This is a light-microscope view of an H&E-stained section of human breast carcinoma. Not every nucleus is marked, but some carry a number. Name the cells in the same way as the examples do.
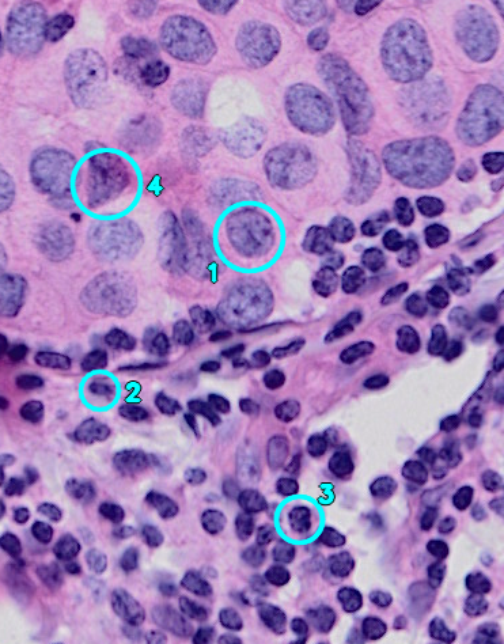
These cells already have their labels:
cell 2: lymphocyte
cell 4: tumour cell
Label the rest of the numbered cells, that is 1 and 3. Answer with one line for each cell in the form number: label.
1: tumour cell
3: lymphocyte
